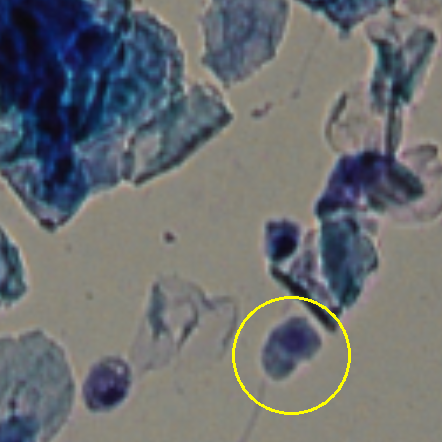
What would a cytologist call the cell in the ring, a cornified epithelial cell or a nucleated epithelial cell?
A cytologist would call it a nucleated epithelial cell.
